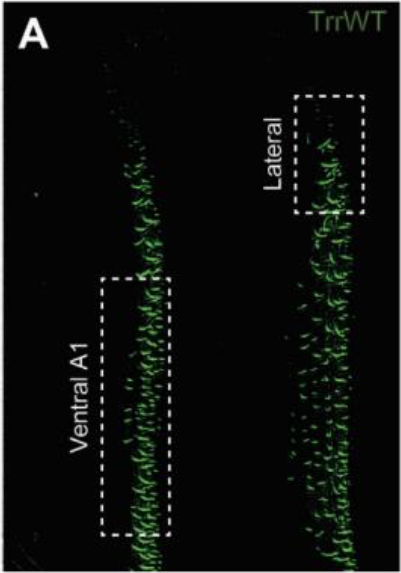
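This is the cuticle of the first abdominal segments, with trichomes, small pointed hair-like projections, shown in green. The spaces between the bands are almost free of projections, giving a clean, banded pattern.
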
